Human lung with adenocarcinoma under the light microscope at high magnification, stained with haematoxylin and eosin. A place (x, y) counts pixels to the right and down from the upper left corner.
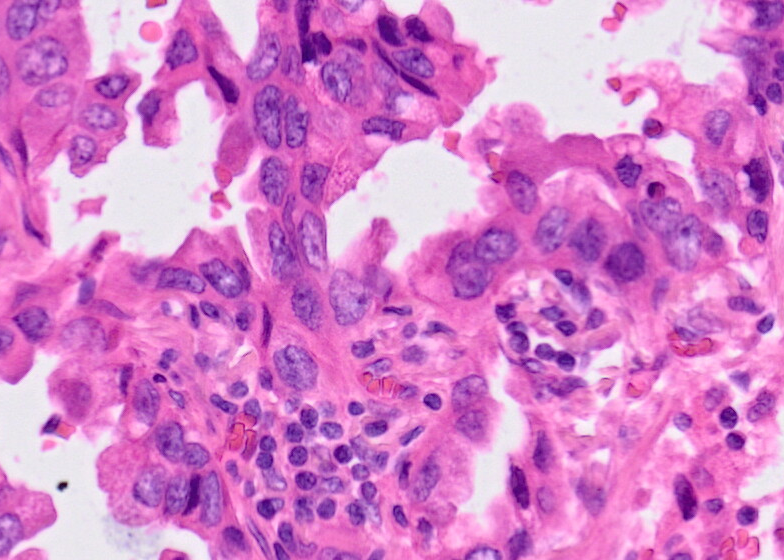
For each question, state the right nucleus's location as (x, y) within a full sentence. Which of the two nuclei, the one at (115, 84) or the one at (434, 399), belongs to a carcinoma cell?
The nucleus at (115, 84) belongs to a carcinoma cell, which distinguishes it from the other nucleus.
